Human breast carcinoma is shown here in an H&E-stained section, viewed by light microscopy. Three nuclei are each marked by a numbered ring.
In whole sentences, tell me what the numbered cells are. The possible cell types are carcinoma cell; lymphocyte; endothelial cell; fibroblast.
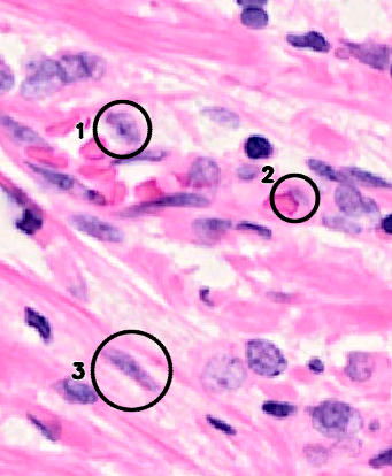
Cells 1 and 2 are endothelial cells. Cell 3 is a fibroblast.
